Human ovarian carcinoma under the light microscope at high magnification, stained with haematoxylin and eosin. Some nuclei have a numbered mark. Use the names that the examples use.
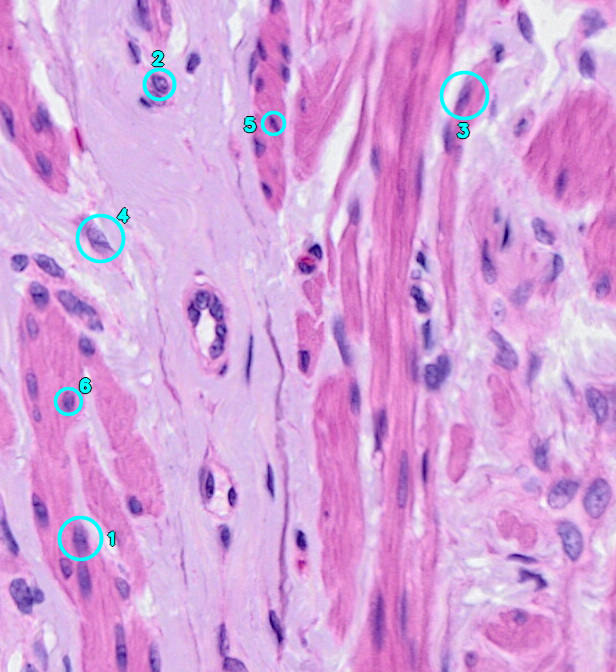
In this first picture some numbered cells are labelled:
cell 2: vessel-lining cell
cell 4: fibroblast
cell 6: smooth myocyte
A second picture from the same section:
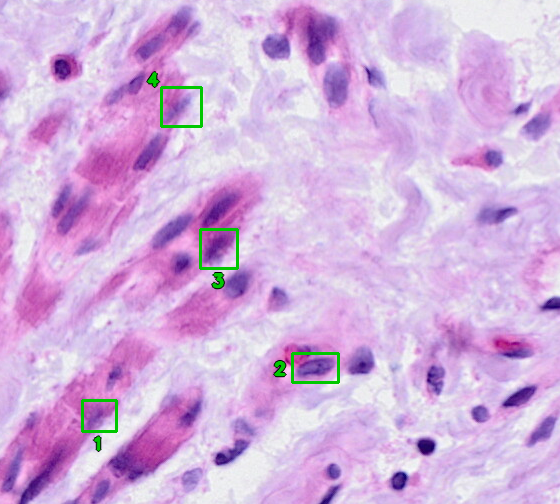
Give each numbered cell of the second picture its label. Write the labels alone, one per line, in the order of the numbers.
smooth myocyte
vessel-lining cell
smooth myocyte
smooth myocyte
